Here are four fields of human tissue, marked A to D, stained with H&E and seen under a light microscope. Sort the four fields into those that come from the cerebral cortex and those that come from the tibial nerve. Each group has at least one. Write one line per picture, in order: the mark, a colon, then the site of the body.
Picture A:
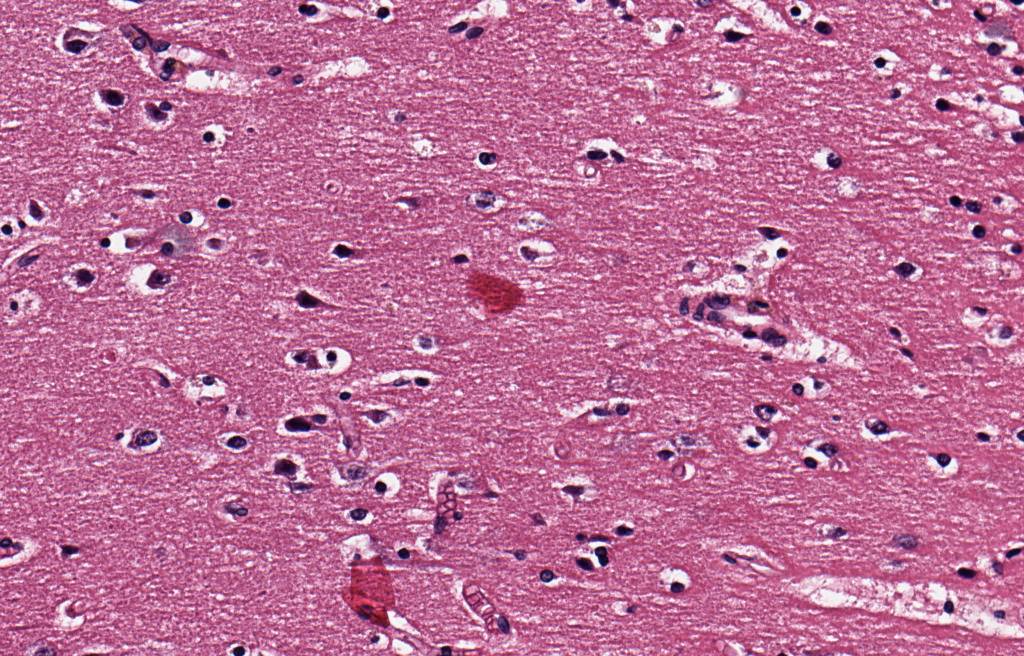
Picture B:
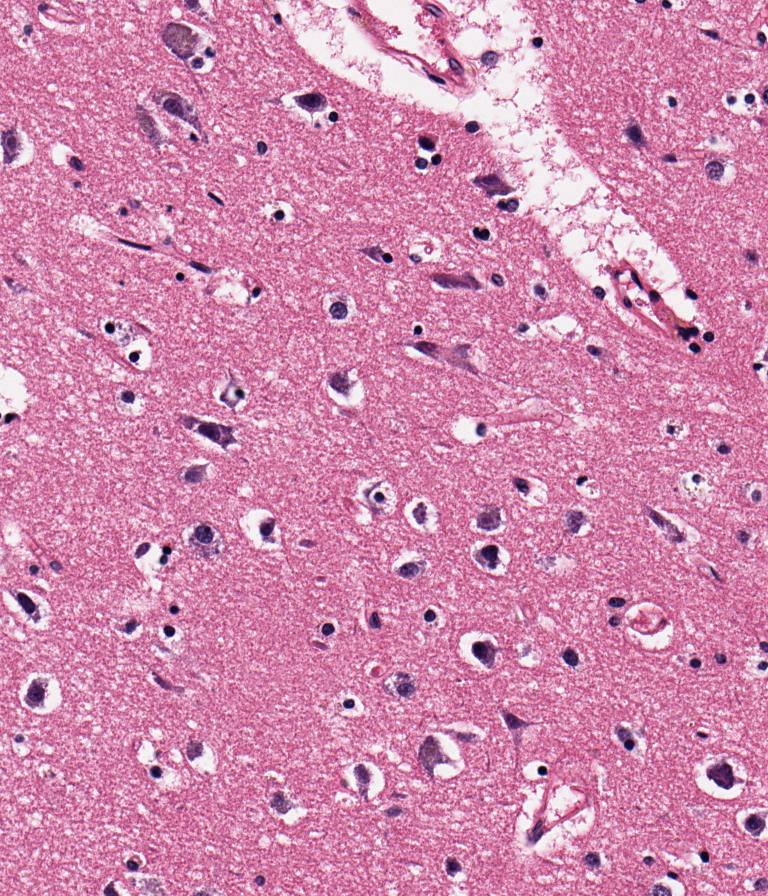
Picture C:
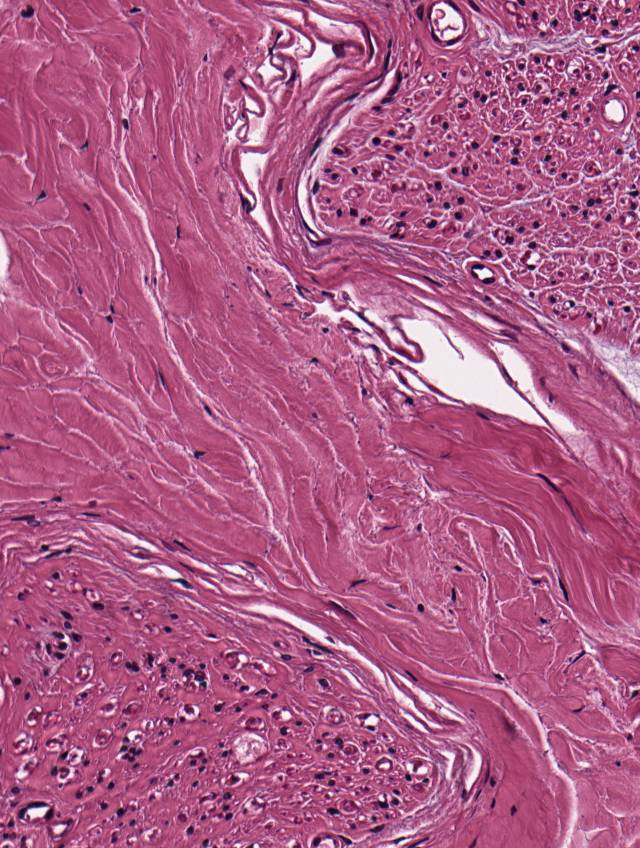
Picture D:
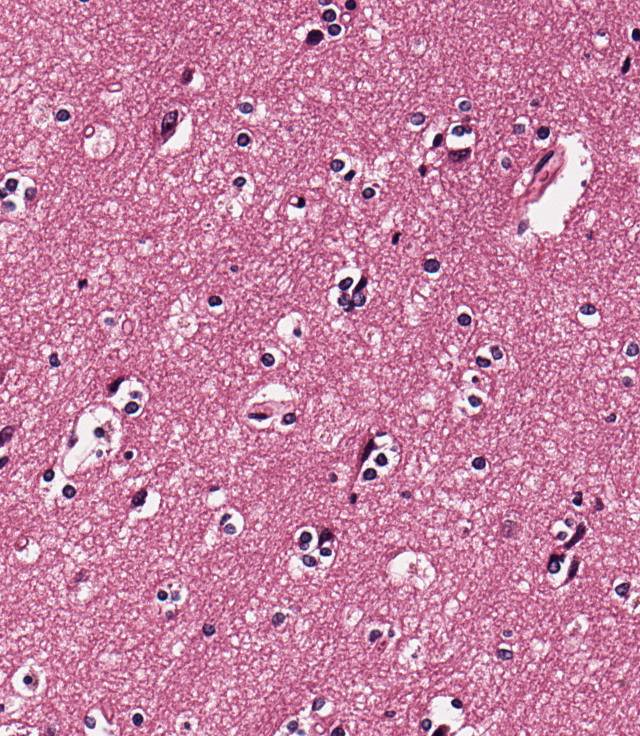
A: cerebral cortex
B: cerebral cortex
C: tibial nerve
D: cerebral cortex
